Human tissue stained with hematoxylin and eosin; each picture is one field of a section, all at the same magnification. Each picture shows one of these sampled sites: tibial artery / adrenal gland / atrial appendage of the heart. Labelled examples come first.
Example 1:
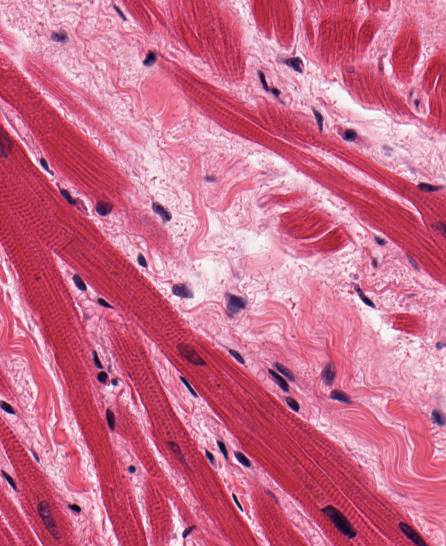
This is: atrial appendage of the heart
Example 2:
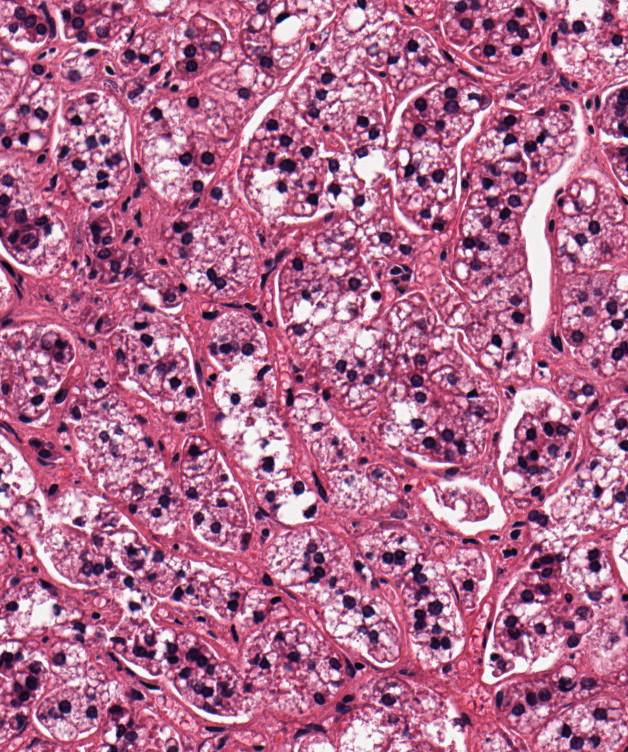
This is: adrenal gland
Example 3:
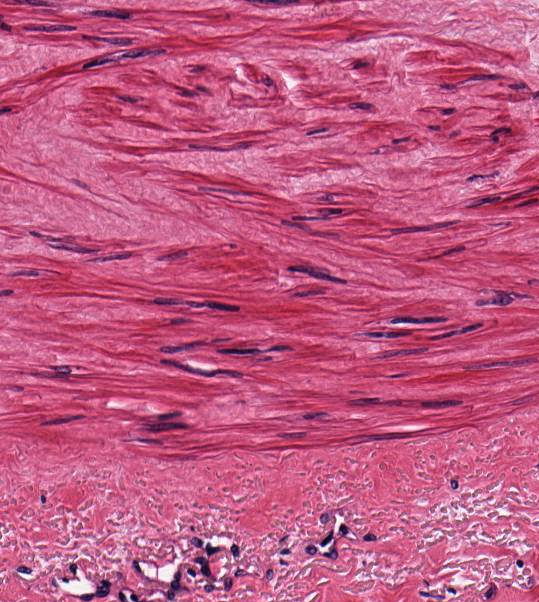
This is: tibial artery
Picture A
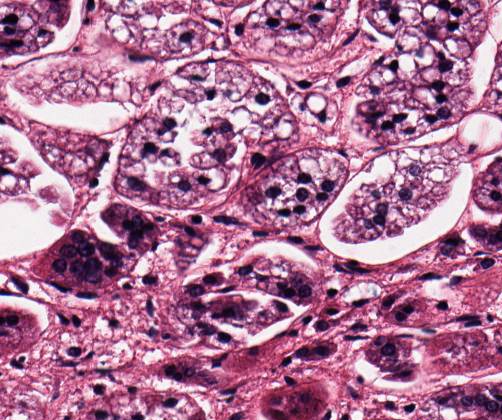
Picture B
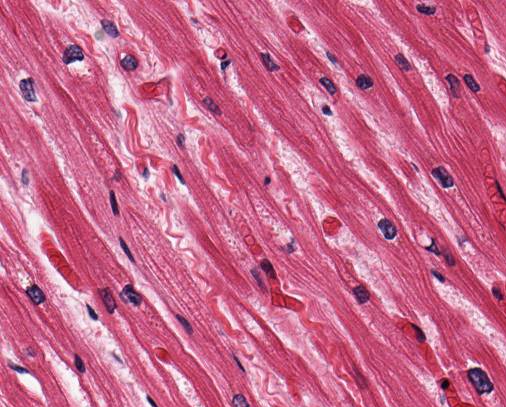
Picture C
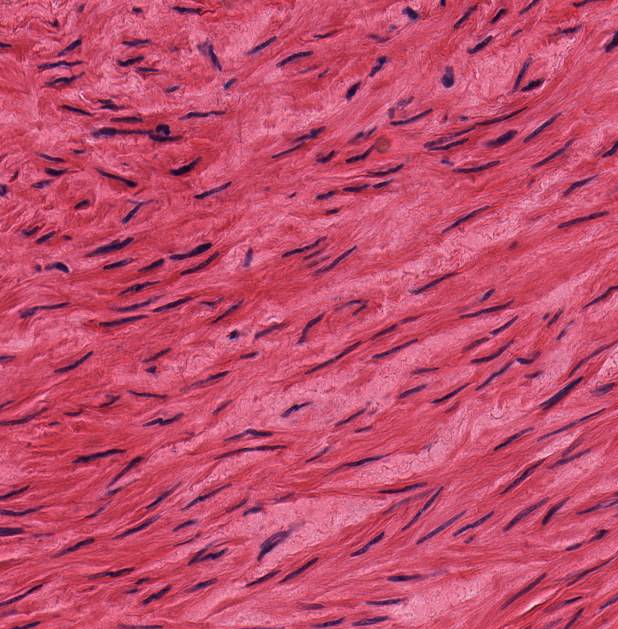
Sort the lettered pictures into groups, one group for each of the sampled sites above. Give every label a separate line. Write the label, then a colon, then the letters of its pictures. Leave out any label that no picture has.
tibial artery: C
adrenal gland: A
atrial appendage of the heart: B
